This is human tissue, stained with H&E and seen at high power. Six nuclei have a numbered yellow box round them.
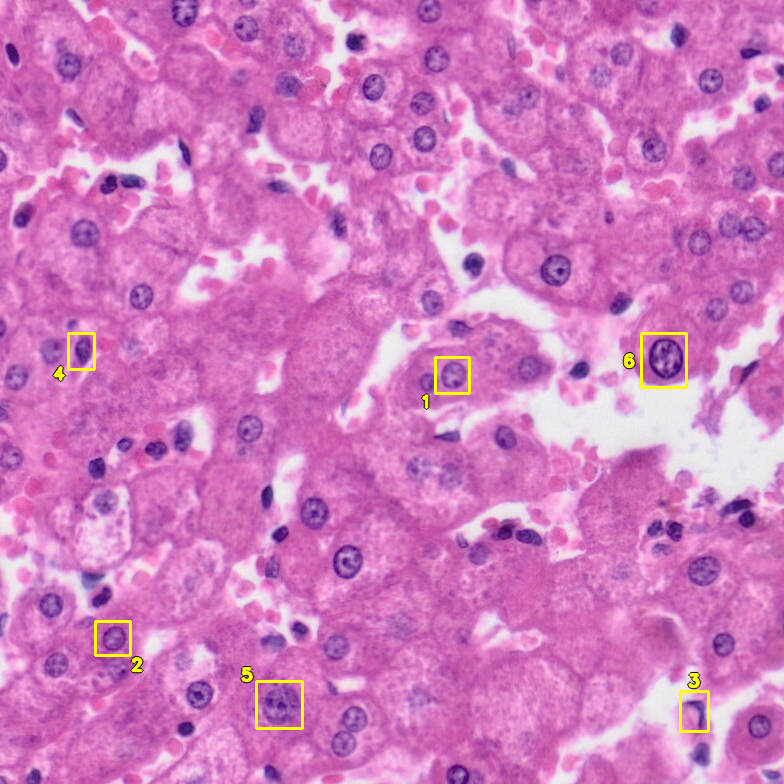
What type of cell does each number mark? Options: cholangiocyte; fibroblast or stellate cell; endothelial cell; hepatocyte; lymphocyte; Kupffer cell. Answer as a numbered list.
1. hepatocyte
2. hepatocyte
3. fibroblast or stellate cell
4. Kupffer cell
5. hepatocyte
6. hepatocyte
